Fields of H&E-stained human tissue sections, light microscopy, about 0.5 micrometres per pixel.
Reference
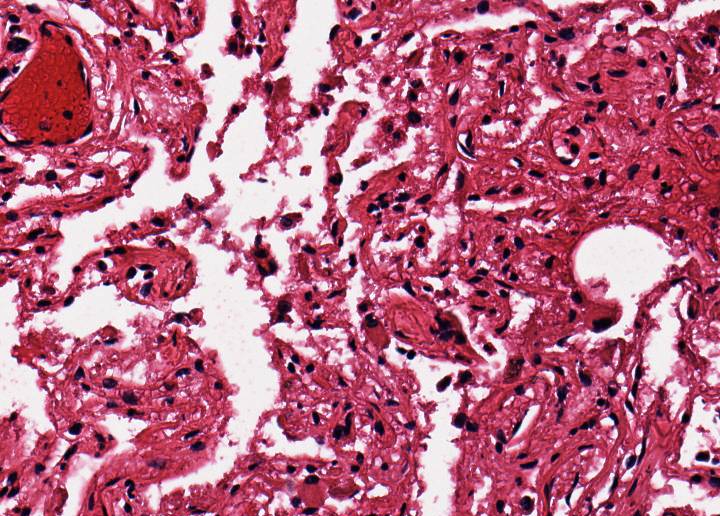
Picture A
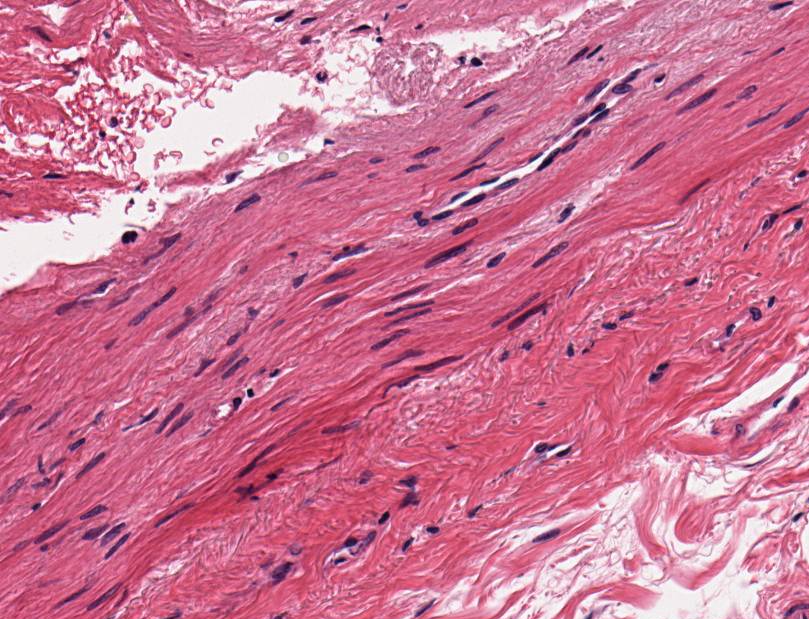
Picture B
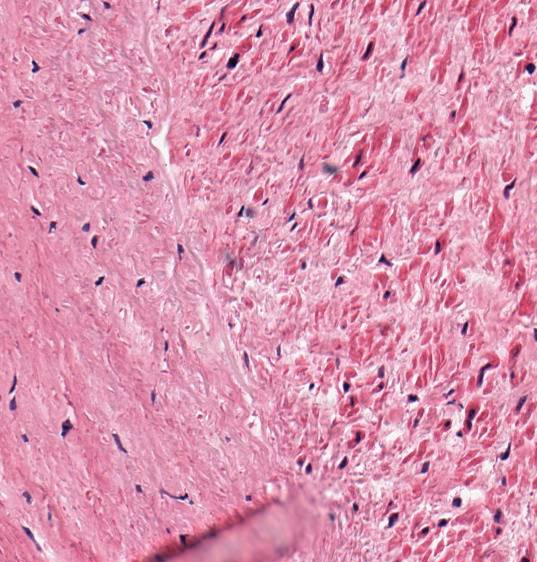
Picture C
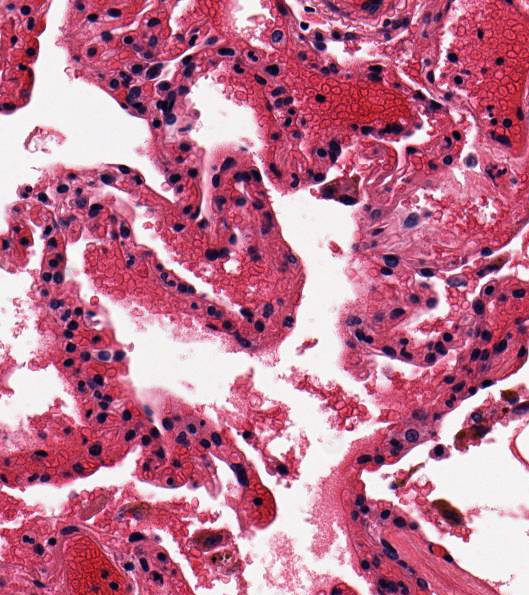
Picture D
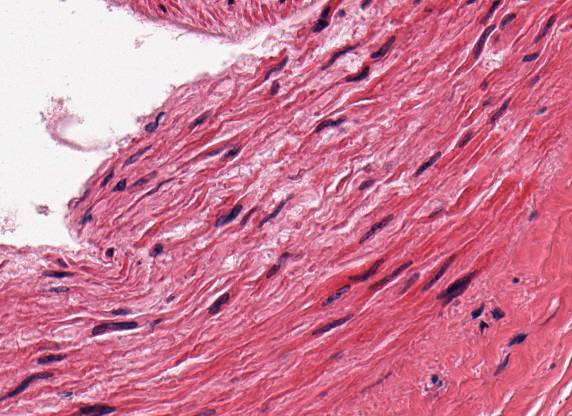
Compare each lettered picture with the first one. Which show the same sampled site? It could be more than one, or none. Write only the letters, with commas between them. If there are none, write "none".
C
